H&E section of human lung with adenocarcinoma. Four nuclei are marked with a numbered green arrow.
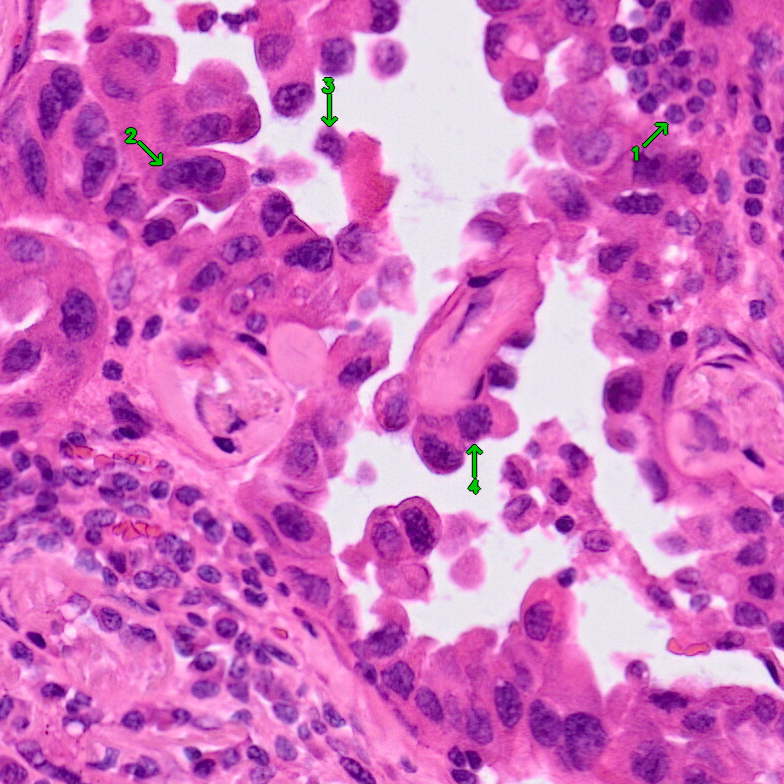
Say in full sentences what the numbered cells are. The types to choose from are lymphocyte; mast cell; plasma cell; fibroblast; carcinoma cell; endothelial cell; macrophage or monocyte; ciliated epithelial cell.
Cell 1 is a lymphocyte, cell 2 is a carcinoma cell, cell 3 is a carcinoma cell and cell 4 is a carcinoma cell.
